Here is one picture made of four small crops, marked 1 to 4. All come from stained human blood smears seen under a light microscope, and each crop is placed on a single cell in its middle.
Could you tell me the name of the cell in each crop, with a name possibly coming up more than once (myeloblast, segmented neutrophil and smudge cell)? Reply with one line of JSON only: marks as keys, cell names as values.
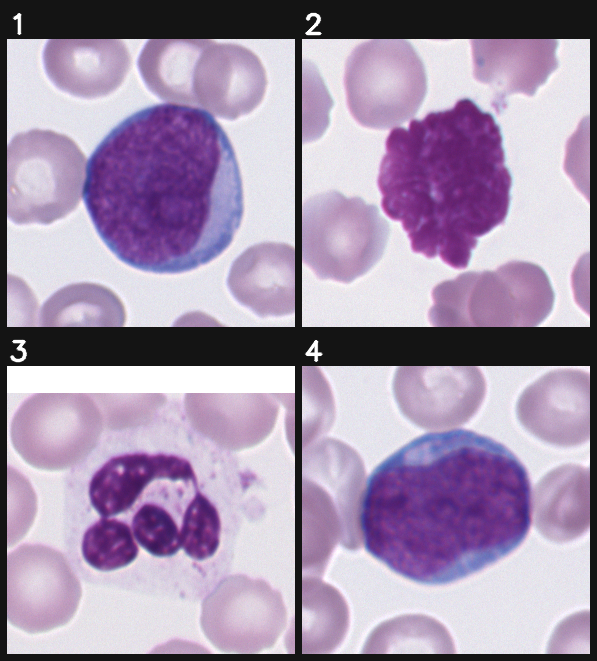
{"1": "myeloblast", "2": "smudge cell", "3": "segmented neutrophil", "4": "myeloblast"}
